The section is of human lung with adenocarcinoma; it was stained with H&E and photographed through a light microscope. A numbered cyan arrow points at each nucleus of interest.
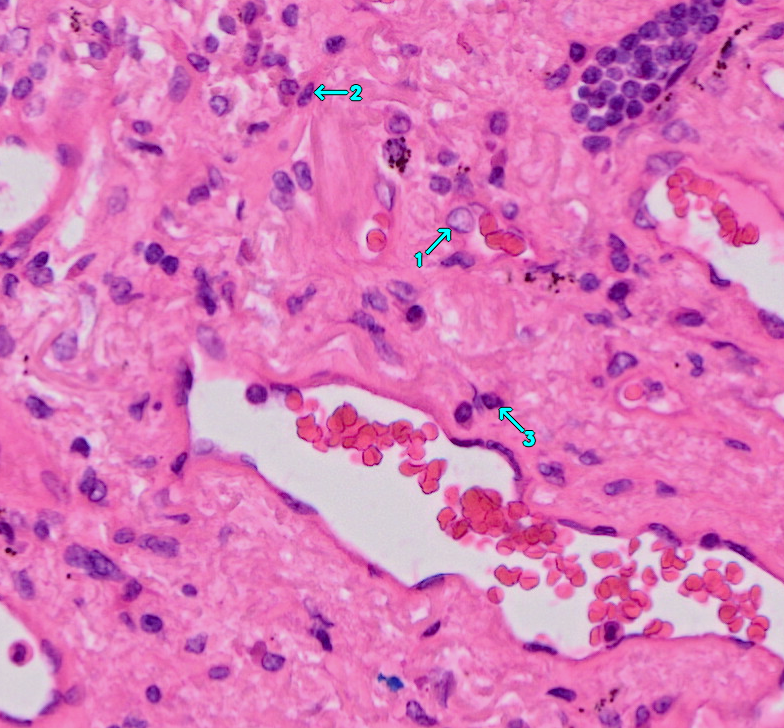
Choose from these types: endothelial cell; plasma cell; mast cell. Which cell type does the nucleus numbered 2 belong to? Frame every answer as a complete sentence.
The cell with the number 2 is a mast cell.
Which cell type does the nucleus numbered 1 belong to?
Cell 1 in the field is an endothelial cell.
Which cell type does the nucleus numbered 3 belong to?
The expected answer is that cell 3 is a plasma cell.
